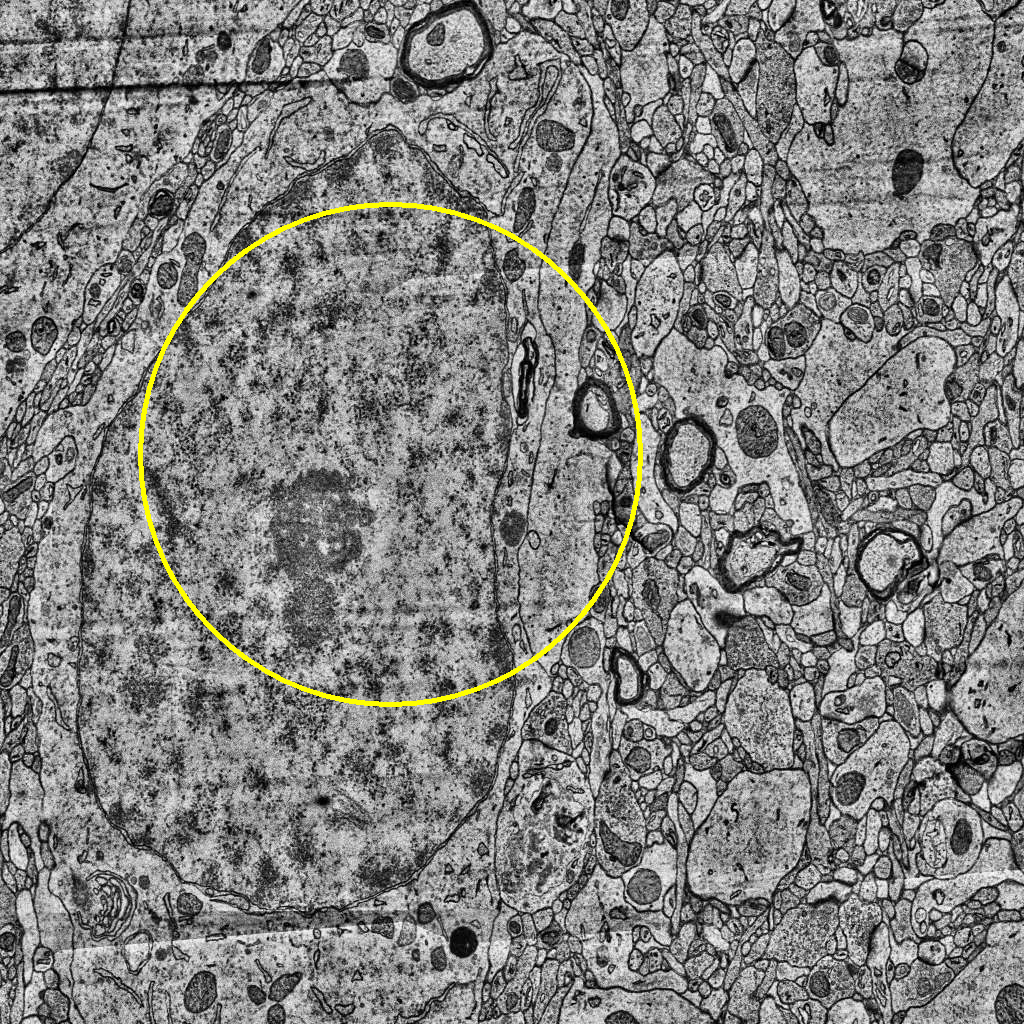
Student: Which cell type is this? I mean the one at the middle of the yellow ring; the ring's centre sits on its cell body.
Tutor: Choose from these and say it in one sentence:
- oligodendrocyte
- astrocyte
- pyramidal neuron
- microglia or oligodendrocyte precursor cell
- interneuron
The cell at the ring's centre is an interneuron.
